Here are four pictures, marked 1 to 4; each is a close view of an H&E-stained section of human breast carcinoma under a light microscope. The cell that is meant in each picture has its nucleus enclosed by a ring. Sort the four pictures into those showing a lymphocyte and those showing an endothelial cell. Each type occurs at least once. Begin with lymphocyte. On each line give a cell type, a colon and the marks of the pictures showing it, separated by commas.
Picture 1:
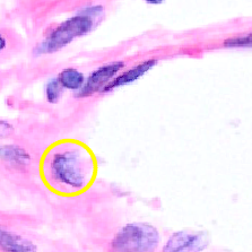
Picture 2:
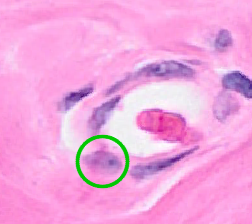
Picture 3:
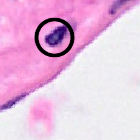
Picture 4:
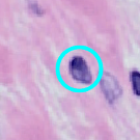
lymphocyte: 3, 4
endothelial cell: 1, 2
